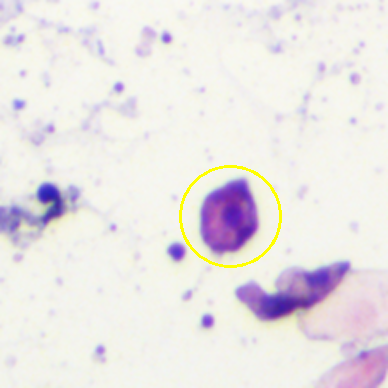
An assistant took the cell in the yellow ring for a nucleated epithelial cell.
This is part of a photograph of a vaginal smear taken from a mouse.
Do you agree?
I agree, it is a nucleated epithelial cell.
